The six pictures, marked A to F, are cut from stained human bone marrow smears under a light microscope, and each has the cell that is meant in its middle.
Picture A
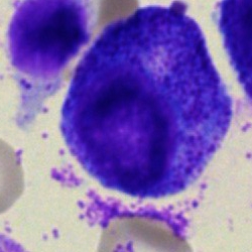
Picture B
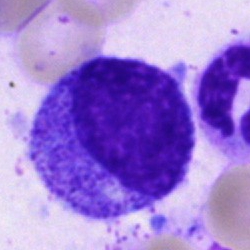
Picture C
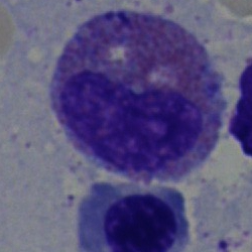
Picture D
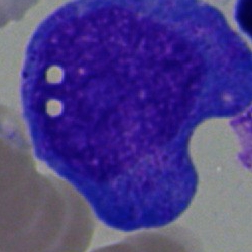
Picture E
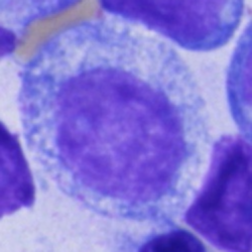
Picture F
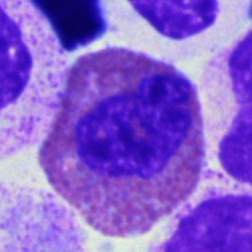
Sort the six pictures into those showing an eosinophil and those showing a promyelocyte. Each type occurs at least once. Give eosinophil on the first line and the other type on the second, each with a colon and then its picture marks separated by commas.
eosinophil: C, F
promyelocyte: A, B, D, E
